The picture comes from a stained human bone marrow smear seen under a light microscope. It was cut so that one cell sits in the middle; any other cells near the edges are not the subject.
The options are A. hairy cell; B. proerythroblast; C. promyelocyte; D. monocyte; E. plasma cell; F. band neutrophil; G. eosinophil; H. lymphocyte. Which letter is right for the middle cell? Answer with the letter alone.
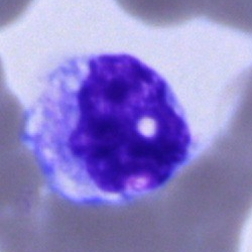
D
